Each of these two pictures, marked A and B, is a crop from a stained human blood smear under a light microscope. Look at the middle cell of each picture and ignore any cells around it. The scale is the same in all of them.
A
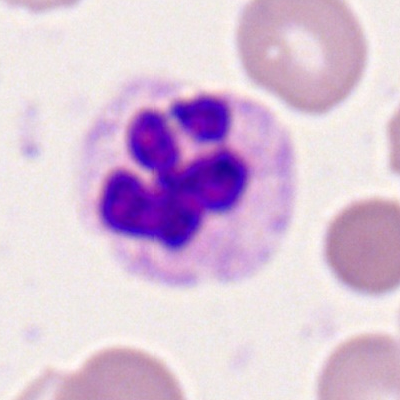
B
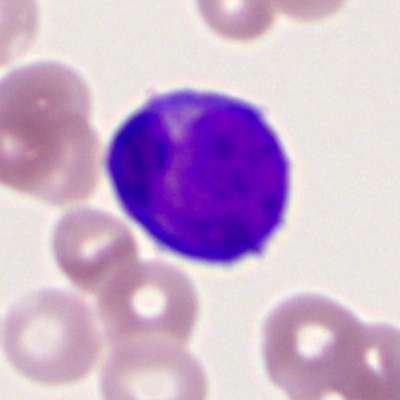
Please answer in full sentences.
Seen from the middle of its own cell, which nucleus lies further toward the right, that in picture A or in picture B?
The nucleus in picture B lies further toward the right of its cell.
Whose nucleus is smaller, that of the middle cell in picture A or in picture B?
Smaller is the nucleus in picture A, and the other is about 2 times as large in area.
